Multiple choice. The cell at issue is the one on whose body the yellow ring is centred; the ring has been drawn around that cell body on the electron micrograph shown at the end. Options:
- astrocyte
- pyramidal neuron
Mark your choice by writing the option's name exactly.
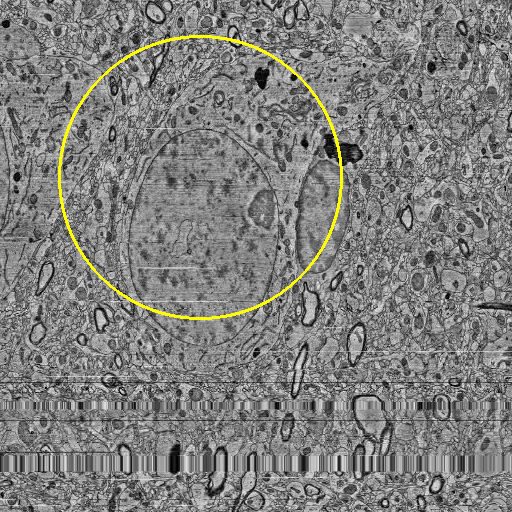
pyramidal neuron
